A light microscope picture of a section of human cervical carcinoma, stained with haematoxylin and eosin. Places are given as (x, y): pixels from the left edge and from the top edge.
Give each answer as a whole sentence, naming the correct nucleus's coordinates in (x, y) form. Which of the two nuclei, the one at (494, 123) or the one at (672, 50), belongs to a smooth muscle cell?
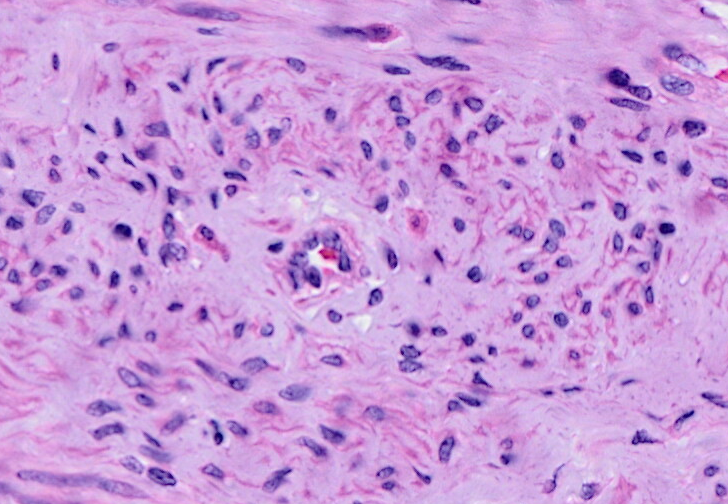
Only the nucleus at (494, 123), of the two, belongs to a smooth muscle cell.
